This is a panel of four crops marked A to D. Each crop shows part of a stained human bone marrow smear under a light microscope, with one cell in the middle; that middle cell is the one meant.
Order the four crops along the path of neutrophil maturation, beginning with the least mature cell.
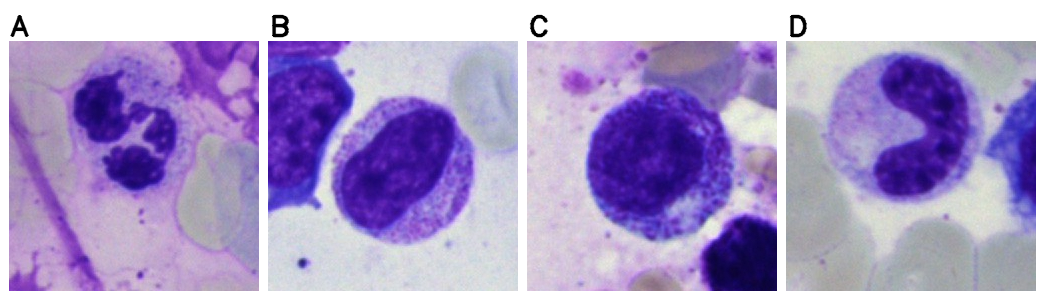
C, B, D, A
